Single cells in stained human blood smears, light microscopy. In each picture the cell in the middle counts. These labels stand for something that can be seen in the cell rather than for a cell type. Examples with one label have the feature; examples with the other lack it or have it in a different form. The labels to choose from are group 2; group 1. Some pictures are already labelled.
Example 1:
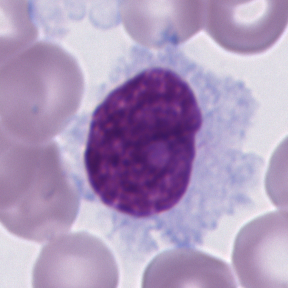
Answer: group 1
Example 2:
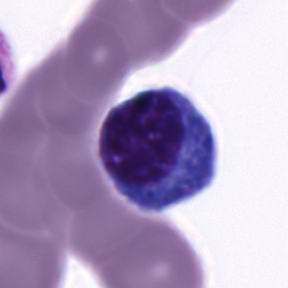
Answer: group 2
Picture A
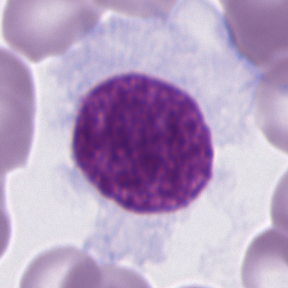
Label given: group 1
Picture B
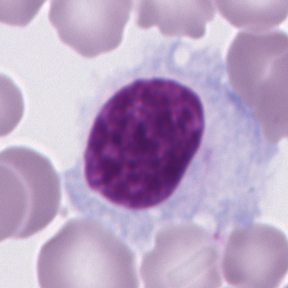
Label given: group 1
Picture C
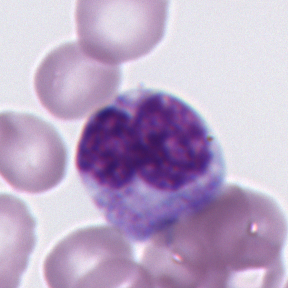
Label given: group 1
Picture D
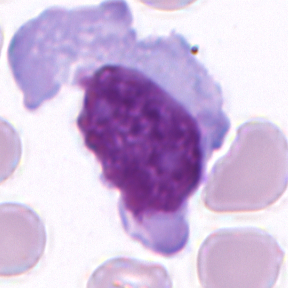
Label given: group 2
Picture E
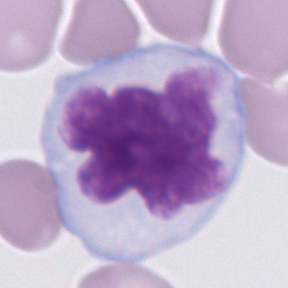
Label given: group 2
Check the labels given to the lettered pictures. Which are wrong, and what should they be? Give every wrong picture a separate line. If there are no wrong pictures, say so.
D: group 1, not group 2
E: group 1, not group 2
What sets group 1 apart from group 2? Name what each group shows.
group 1: abundant cytoplasm; group 2: scant cytoplasm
